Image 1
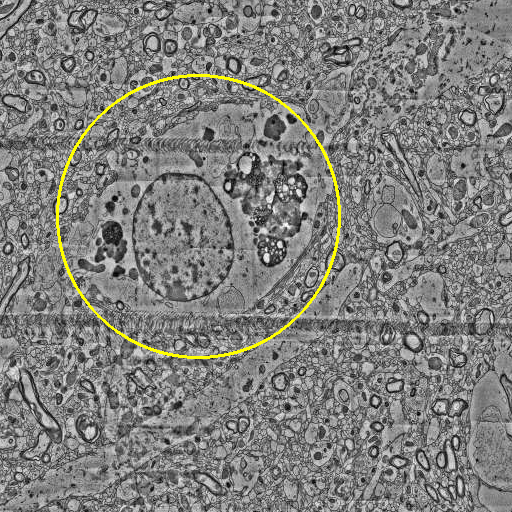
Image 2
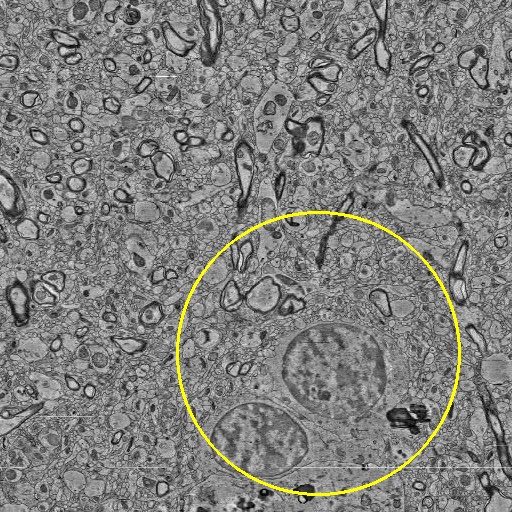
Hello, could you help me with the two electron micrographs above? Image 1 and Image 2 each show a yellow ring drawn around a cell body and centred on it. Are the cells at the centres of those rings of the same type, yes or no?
no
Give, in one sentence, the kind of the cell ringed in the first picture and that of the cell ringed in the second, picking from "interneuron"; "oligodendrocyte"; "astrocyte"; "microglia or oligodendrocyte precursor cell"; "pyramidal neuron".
For the first picture it is an astrocyte; for the second, an oligodendrocyte.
